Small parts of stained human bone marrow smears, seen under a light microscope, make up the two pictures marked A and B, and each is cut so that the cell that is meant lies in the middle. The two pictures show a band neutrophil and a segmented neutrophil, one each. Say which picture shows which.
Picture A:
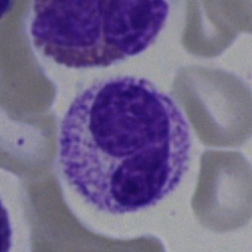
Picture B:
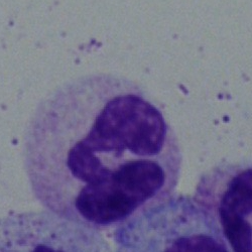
A: band neutrophil
B: segmented neutrophil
